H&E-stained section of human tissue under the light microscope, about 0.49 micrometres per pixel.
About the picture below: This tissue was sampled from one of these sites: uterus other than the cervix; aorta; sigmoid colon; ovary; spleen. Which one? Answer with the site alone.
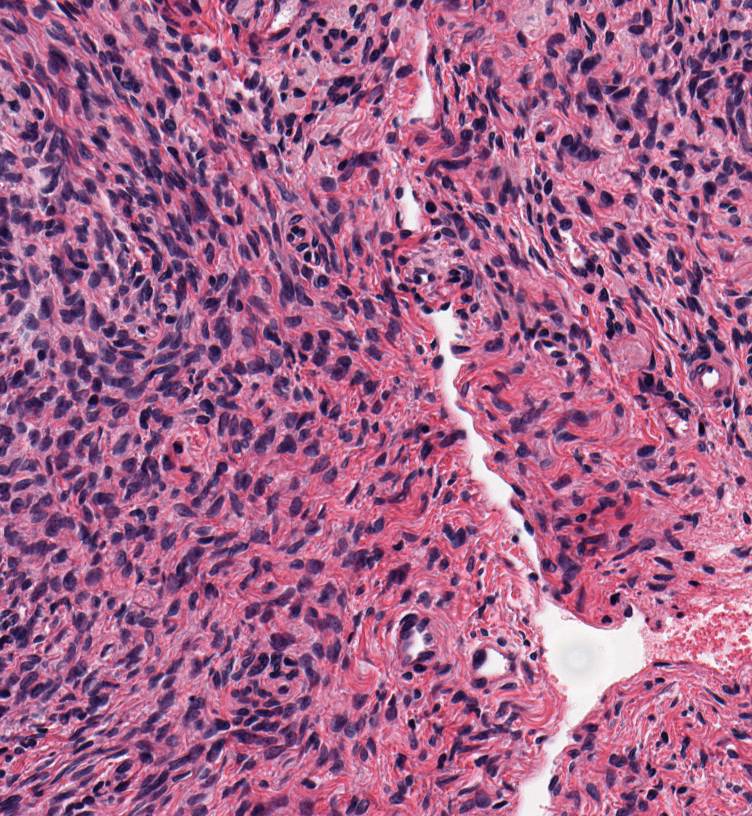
ovary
